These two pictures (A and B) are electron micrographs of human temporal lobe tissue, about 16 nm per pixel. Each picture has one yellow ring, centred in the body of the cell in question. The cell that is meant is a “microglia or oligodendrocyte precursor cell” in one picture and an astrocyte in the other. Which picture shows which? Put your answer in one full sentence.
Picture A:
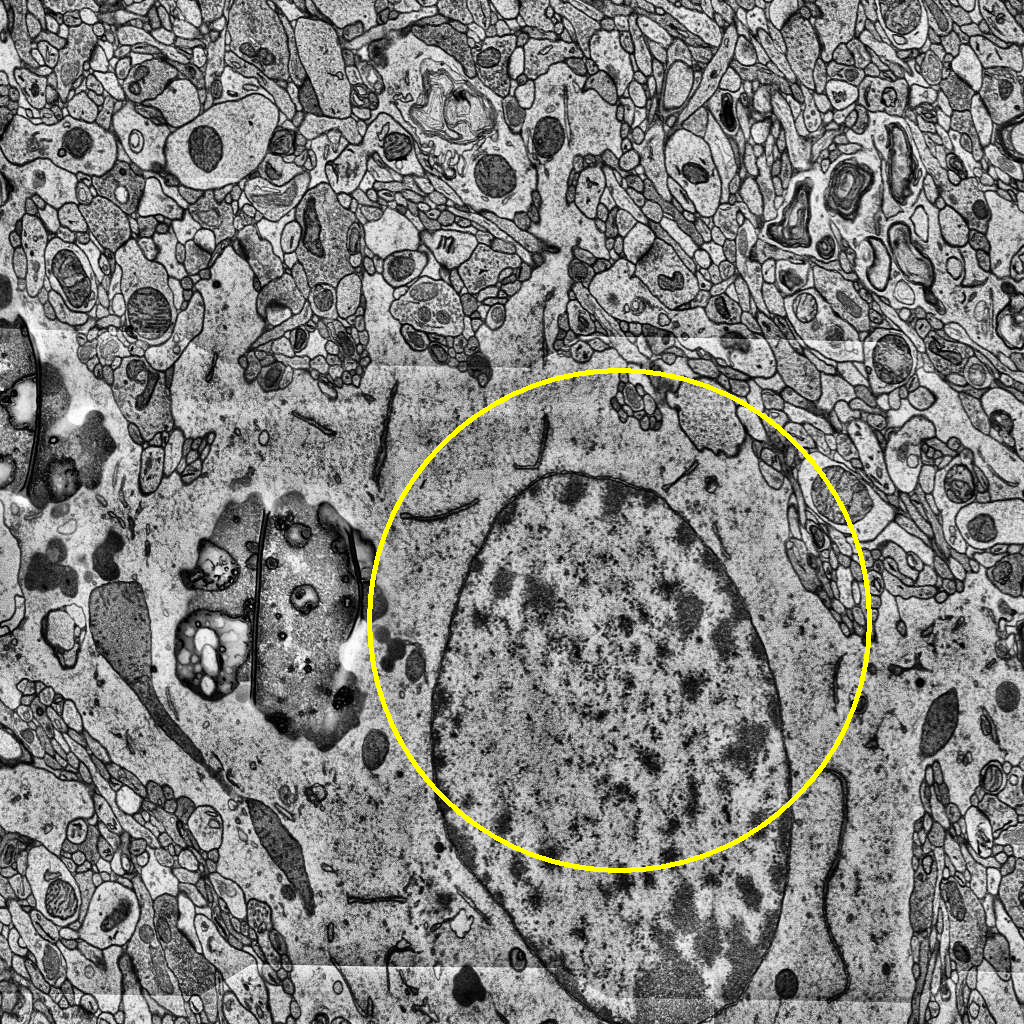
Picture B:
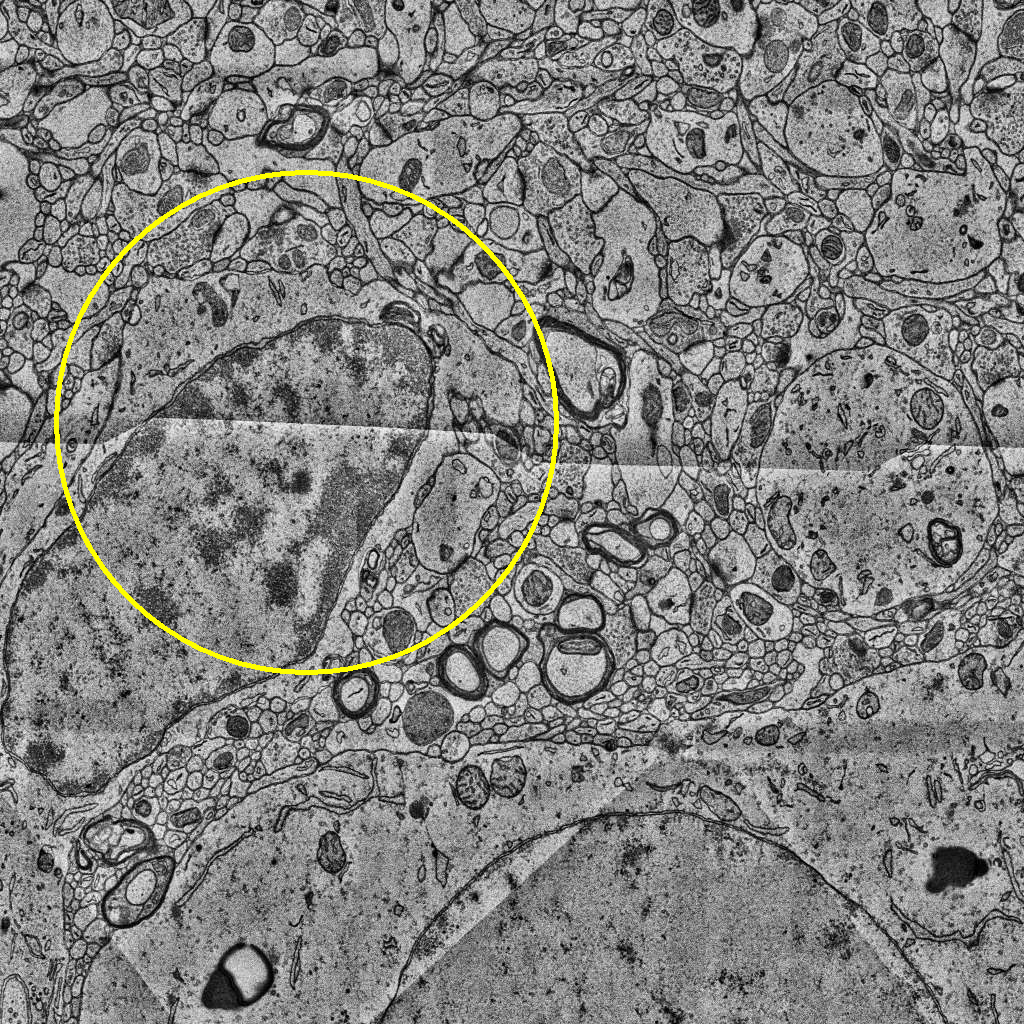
Picture A is of an astrocyte, and picture B is of a “microglia or oligodendrocyte precursor cell”.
